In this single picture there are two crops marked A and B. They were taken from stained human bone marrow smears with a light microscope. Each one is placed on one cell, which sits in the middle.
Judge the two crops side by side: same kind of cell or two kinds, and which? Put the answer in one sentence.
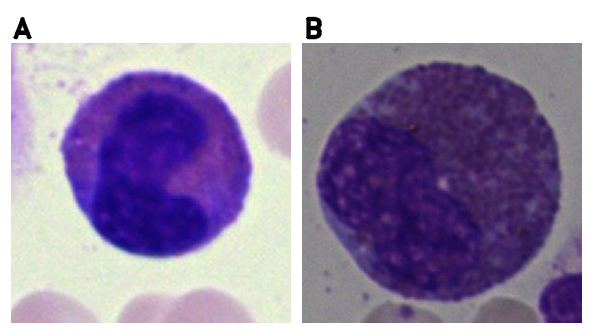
Yes, the cells in the centres of the two crops are eosinophils.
